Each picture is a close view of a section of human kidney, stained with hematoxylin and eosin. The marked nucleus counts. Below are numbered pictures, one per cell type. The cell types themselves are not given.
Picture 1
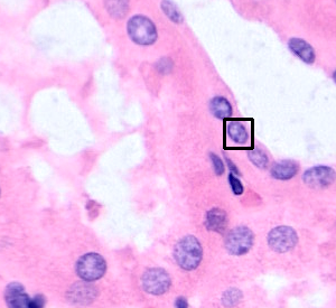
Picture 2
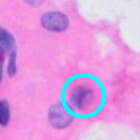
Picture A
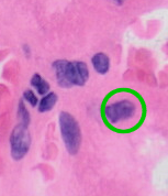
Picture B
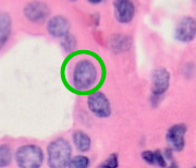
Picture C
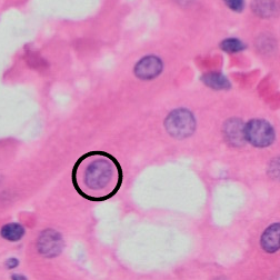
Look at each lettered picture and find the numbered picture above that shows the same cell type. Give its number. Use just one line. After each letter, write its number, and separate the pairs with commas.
A 2, B 1, C 2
